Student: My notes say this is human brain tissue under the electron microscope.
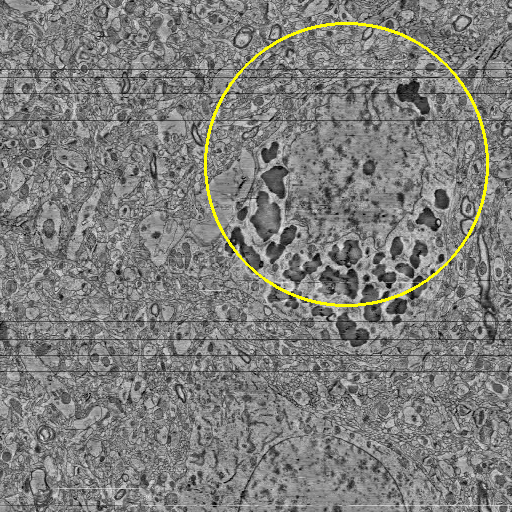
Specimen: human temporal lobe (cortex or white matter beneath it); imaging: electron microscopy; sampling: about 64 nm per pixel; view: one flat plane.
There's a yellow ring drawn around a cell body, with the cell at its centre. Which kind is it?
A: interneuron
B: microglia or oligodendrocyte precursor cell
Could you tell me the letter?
A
